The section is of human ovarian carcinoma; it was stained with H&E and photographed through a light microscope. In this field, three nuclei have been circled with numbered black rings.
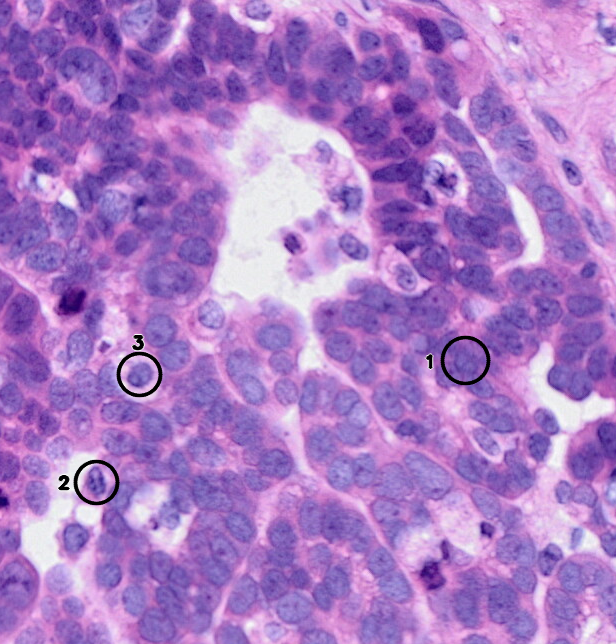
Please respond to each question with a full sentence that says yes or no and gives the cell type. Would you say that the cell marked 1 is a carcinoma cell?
Yes, the cell with the number 1 is a carcinoma cell.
